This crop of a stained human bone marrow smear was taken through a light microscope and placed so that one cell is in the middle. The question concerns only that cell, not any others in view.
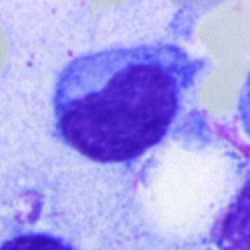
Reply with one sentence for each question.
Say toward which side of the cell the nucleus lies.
Seen from the middle of the cell, the nucleus lies toward the bottom.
